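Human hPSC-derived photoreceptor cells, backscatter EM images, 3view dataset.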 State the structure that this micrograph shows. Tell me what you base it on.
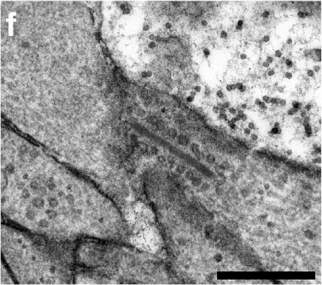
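An elongated electron-dense bar lies near a cell membrane. Many small round vesicles lie in the cytoplasm nearby.
Conclusion: ribbon synapse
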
